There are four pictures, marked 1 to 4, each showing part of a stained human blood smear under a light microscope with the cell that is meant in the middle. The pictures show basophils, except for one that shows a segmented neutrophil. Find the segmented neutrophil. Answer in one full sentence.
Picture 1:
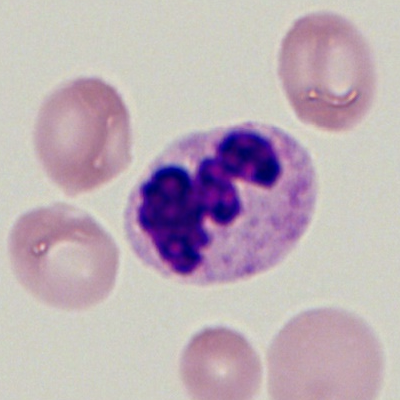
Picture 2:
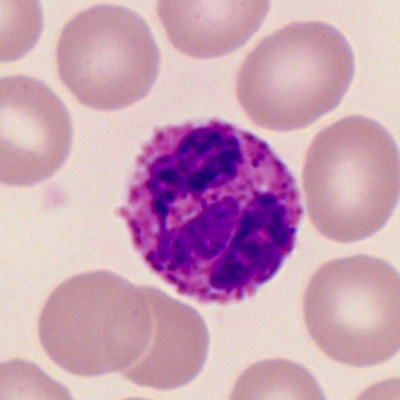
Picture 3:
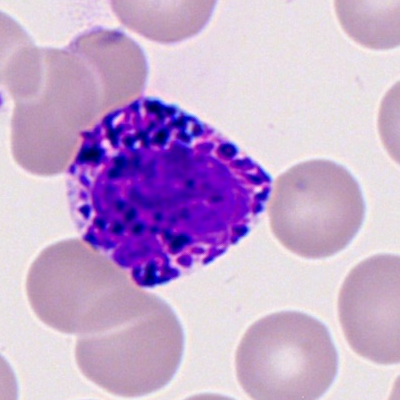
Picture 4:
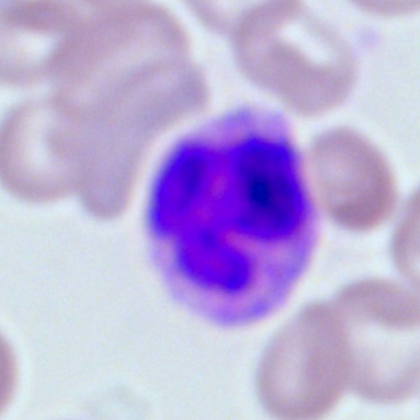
The segmented neutrophil is the one in picture 1.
